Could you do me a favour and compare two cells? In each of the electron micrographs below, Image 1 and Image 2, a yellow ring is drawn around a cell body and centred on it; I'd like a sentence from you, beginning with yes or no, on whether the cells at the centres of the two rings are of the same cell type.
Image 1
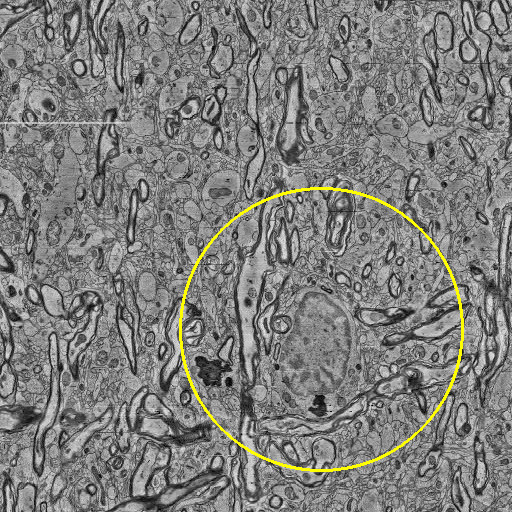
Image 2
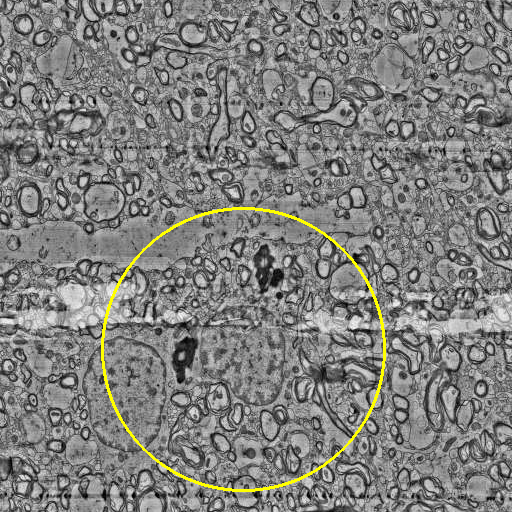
Yes, the two cells are of the same cell type.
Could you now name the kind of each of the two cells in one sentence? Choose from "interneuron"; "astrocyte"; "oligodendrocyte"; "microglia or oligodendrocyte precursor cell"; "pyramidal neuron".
Each of the two rings is centred on an oligodendrocyte.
